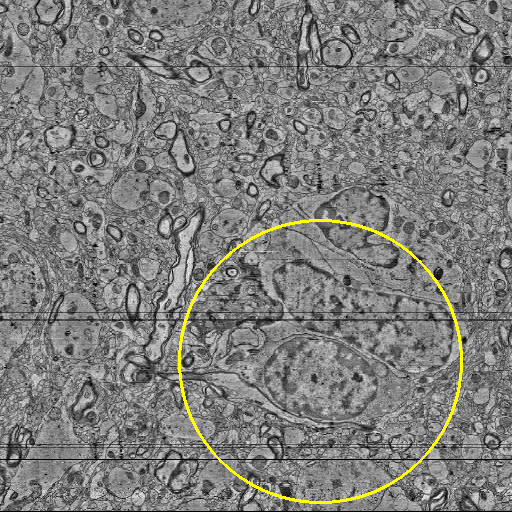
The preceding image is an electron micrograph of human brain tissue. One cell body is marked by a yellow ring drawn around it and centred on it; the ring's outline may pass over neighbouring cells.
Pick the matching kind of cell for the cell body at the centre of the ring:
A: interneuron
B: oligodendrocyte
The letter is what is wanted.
B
